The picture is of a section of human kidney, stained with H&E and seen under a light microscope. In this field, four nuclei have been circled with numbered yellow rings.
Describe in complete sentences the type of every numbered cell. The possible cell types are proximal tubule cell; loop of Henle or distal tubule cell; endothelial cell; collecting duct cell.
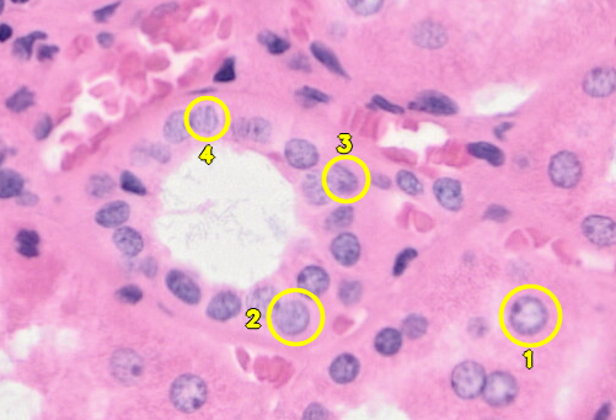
Cell 1 is a proximal tubule cell. Cells 2, 3 and 4 are collecting duct cells.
